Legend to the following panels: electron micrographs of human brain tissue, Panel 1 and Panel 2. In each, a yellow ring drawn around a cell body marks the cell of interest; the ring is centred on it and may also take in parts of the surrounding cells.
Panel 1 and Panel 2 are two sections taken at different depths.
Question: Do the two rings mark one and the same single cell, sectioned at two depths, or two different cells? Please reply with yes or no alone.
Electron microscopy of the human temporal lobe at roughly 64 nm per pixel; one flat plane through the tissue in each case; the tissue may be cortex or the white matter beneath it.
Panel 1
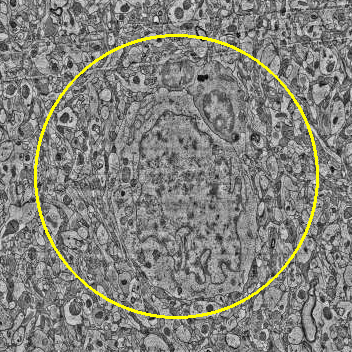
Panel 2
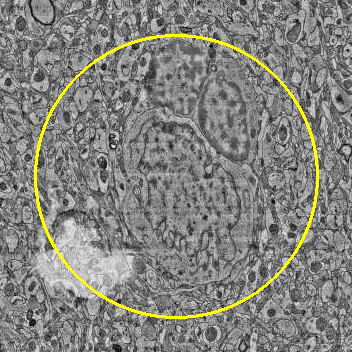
yes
